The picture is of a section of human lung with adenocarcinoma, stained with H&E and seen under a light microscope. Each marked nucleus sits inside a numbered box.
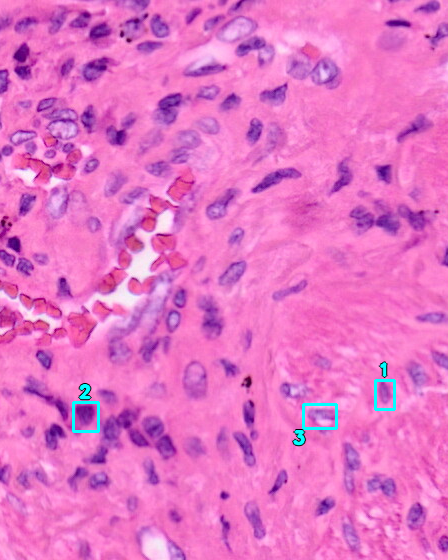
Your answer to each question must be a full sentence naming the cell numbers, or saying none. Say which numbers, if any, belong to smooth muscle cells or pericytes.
To be specific, the cells numbered 1 and 3 are smooth muscle cells or pericytes.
